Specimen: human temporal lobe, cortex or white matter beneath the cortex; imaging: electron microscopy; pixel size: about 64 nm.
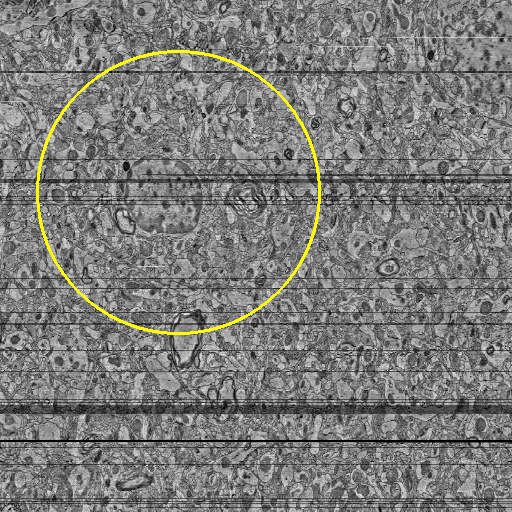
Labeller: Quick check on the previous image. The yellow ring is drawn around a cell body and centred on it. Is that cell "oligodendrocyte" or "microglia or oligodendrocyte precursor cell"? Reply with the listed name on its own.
microglia or oligodendrocyte precursor cell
